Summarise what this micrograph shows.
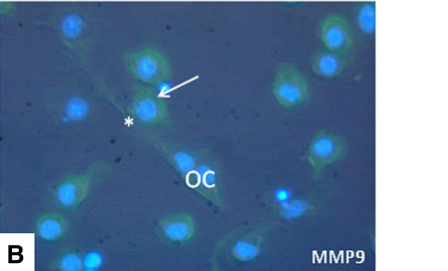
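Cultured cells with blue nuclei, among them small rounded mononuclear cells and parts of a large spread cell with thin cytoplasmic extensions. The small cells each carry a single round to oval blue nucleus surrounded by a narrow rim of green cytoplasm. Faint thin strands of cytoplasm run between cell bodies across the field. One small cell lies directly against such a strand. The background is dark blue-grey.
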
